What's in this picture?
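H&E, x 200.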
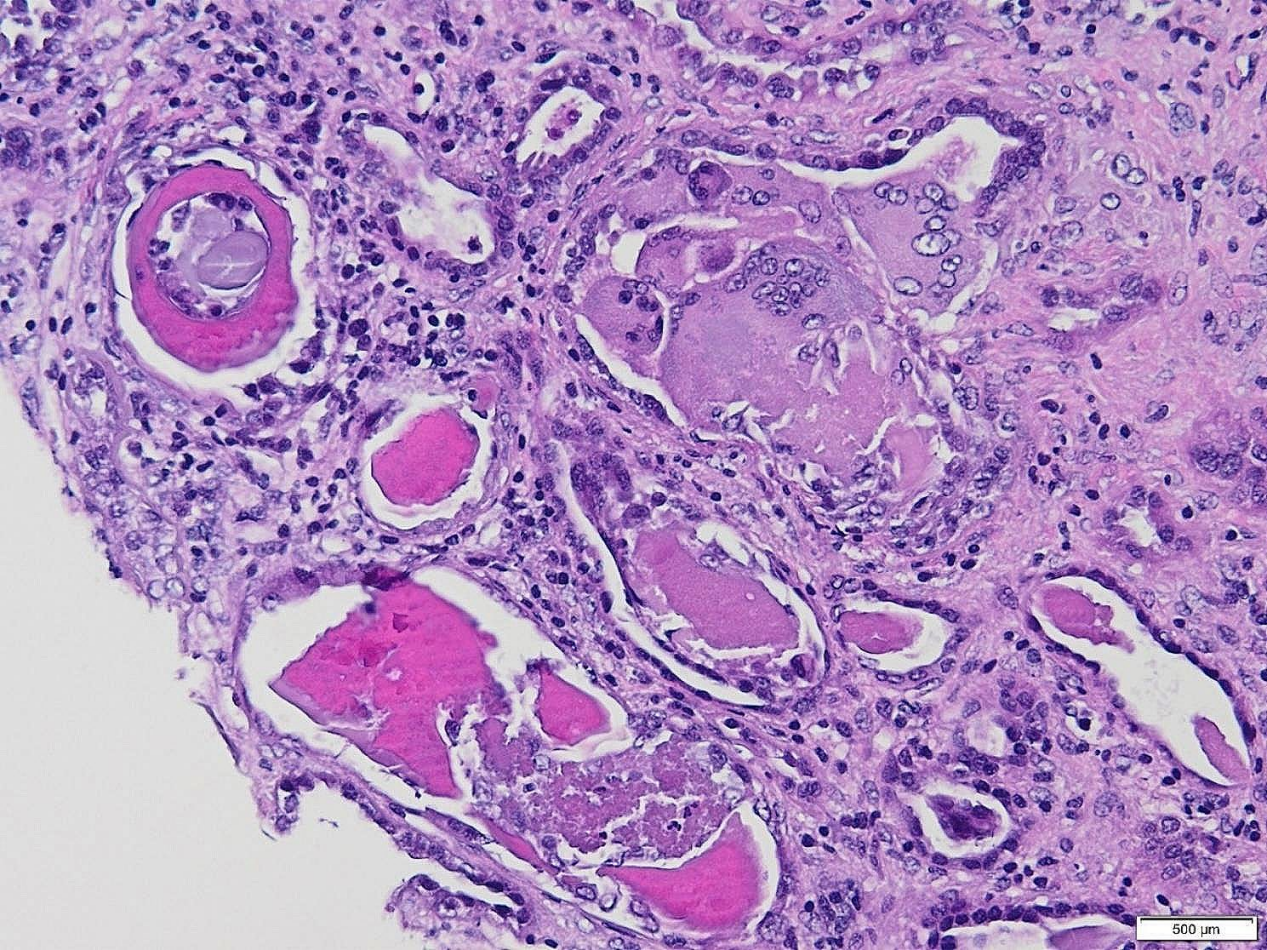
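Several tubular profiles are widened and filled with dense, glassy, bright pink masses. Many of these masses have sharp edges and crack lines, and each is separated from a thin, flattened epithelial lining by a clear retraction gap. In the upper centre, one tubule holds paler pink material surrounded by large cells with ample pink cytoplasm and clustered nuclei, so many nuclei share one cell body. Between the tubules, the interstitium is crowded with small dark round nuclei, suggesting inflammatory cells. Together, these features show distended tubules with hard eosinophilic intratubular casts, some enclosed by multinucleated giant cells.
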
